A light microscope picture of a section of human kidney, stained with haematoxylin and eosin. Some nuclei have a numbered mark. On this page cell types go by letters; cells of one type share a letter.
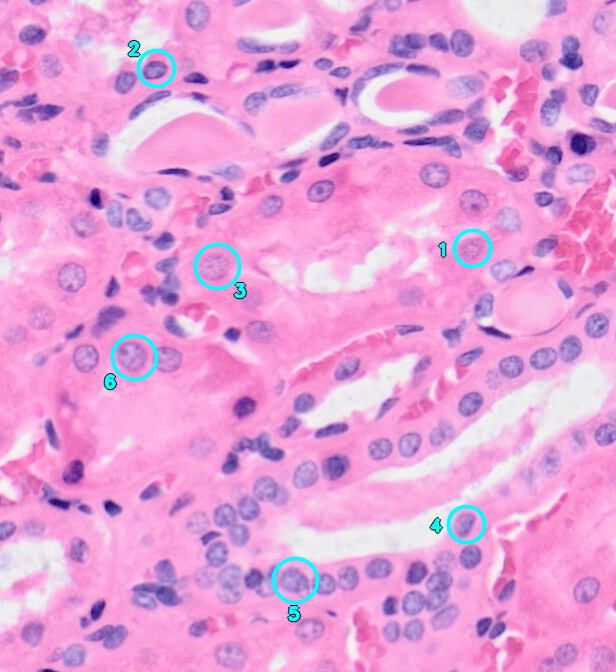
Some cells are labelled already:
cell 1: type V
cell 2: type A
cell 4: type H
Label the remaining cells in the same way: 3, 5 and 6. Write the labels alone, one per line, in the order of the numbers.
type V
type H
type V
